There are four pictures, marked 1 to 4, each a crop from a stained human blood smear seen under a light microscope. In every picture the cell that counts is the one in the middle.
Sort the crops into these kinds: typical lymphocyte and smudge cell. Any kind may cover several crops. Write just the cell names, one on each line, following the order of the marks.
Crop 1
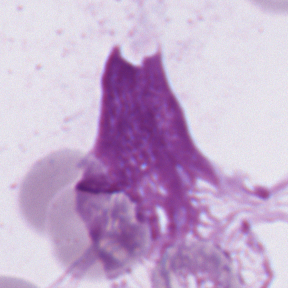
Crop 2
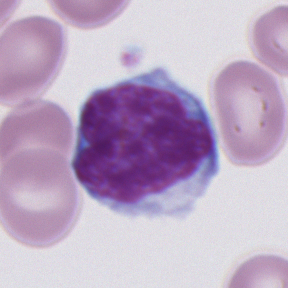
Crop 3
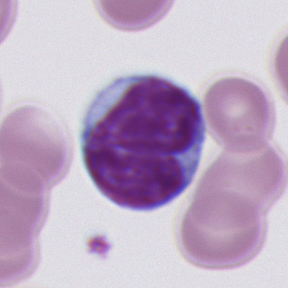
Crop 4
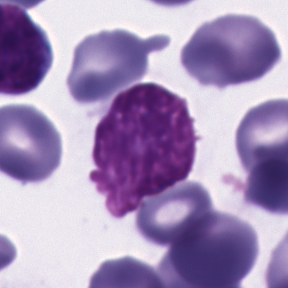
smudge cell
typical lymphocyte
typical lymphocyte
smudge cell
